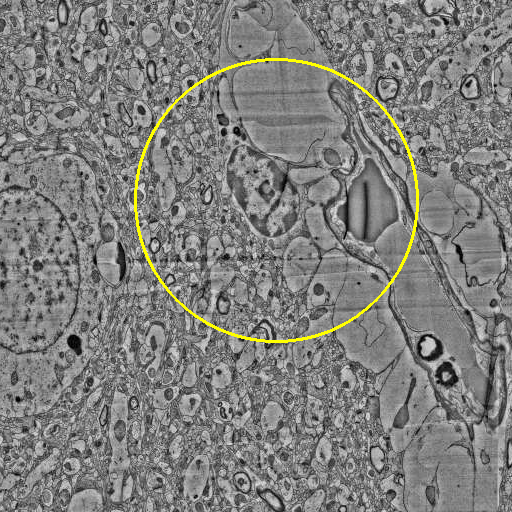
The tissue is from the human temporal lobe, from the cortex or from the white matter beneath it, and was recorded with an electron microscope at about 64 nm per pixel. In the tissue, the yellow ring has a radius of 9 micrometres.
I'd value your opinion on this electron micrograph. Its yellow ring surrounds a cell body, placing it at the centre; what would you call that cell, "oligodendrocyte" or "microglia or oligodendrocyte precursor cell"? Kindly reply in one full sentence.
It is a microglial cell or oligodendrocyte precursor cell that sits centred within the yellow ring in this micrograph.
